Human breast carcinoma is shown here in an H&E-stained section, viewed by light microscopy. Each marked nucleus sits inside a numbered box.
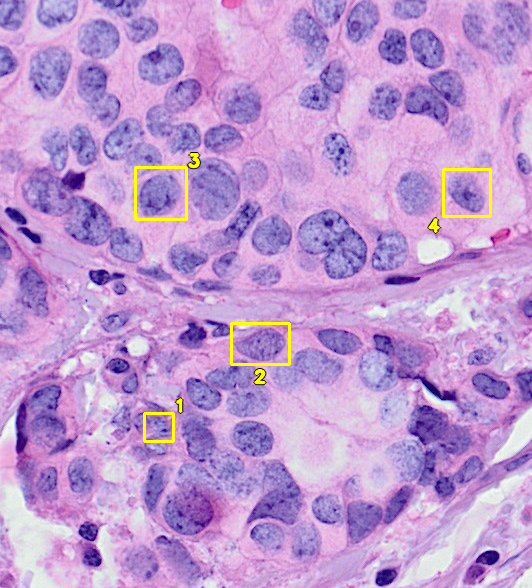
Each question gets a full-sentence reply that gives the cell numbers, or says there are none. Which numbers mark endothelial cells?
Cell 1 is an endothelial cell, and that holds for no other numbered cell.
